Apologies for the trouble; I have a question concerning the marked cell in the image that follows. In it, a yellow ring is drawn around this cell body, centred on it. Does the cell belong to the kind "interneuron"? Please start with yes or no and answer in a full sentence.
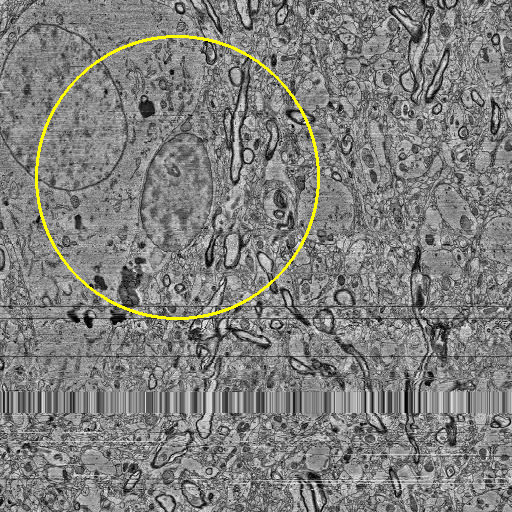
No, the ringed cell in the picture is of a different kind.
